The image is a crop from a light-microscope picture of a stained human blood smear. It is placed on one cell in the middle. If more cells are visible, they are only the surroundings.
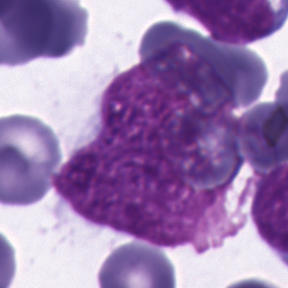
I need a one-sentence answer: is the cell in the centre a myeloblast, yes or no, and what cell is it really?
No, this is not a myeloblast at all; the cell in the middle is a smudge cell.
